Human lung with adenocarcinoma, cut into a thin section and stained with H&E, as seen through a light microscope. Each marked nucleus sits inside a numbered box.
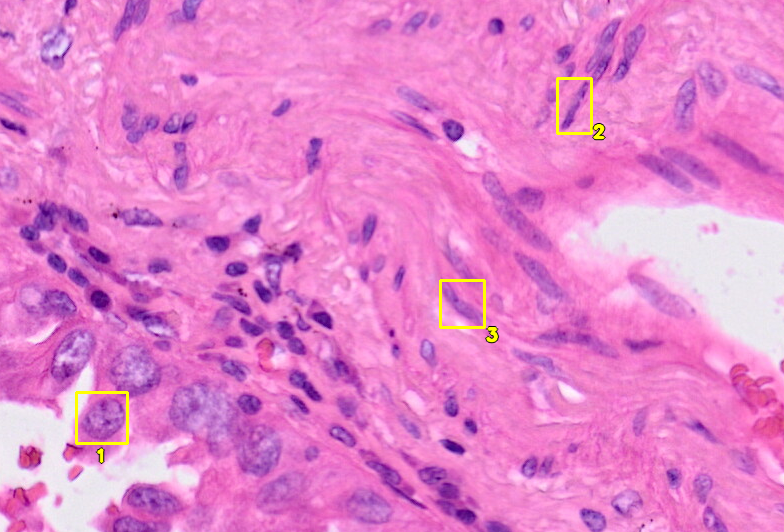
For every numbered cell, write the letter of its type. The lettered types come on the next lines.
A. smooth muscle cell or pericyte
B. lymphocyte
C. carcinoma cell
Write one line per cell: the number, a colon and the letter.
1: C
2: A
3: A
